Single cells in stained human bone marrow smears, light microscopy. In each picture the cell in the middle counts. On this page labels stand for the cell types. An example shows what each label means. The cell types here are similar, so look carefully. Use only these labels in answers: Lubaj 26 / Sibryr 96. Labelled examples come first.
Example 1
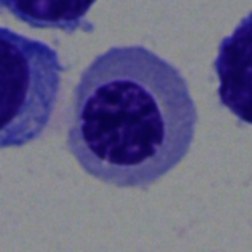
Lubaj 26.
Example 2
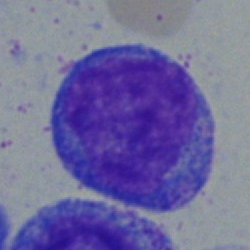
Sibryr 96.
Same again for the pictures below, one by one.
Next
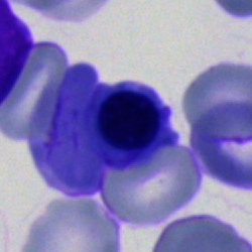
Lubaj 26.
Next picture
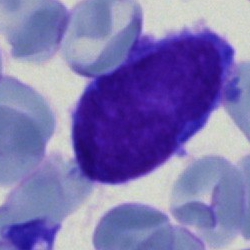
Sibryr 96.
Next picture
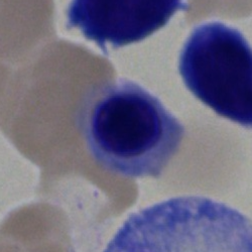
Lubaj 26.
